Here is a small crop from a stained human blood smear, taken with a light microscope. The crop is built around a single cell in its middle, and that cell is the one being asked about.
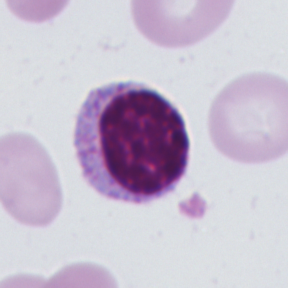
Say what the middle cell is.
large granular lymphocyte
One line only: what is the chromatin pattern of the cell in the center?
The nucleus shows chromatin that is coarsely clumped.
